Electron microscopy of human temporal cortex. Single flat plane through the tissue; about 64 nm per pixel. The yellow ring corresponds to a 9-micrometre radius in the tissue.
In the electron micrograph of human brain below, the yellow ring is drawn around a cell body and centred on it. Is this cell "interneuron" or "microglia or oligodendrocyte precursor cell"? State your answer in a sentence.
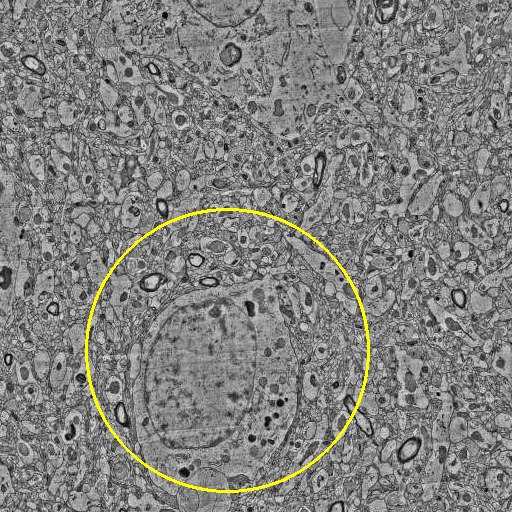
The cell in the middle of the ring is an interneuron.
